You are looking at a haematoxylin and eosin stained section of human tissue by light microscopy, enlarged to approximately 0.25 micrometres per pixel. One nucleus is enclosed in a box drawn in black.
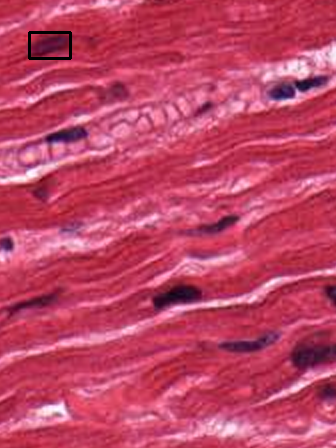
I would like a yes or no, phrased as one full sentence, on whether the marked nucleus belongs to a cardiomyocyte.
Yes, the marked nucleus is that of a cardiomyocyte.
